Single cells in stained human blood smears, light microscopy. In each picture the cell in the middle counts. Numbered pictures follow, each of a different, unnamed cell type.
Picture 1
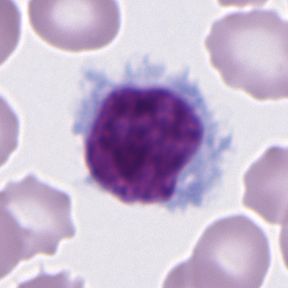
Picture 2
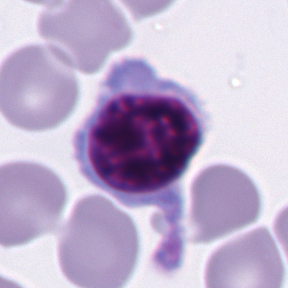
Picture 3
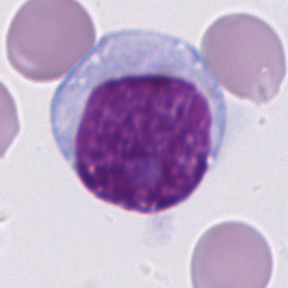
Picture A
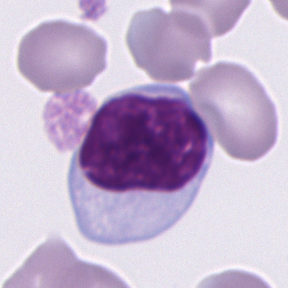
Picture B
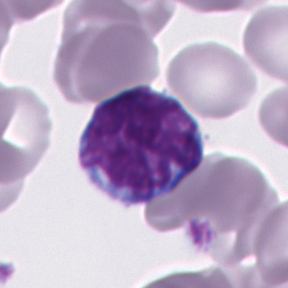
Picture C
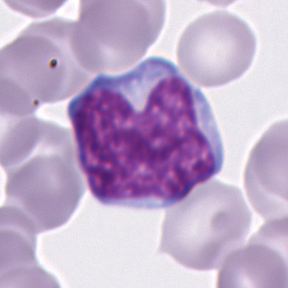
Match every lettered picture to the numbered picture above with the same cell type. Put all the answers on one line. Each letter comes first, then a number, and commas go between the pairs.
A 2, B 2, C 2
